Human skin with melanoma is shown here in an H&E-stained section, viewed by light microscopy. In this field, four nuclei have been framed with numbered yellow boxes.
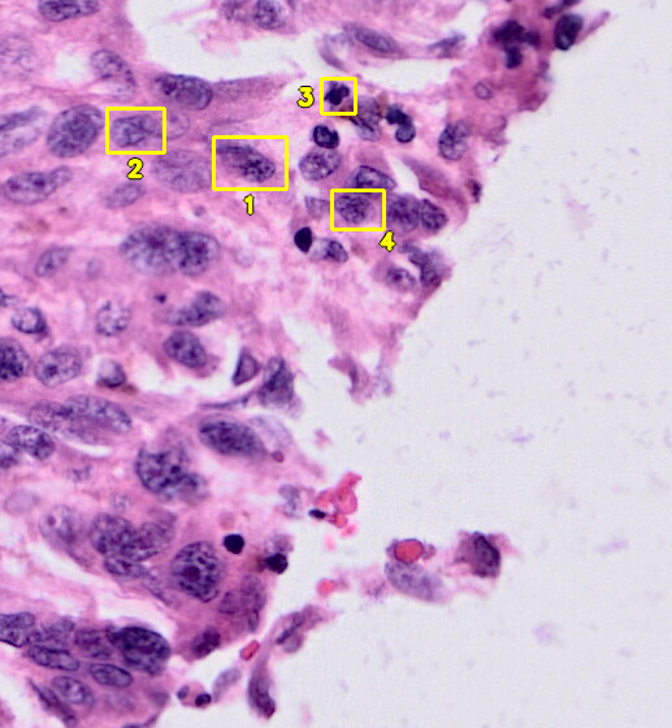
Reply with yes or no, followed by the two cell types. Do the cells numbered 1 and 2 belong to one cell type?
Yes, in this section cells 1 and 2 are both melanoma cells.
